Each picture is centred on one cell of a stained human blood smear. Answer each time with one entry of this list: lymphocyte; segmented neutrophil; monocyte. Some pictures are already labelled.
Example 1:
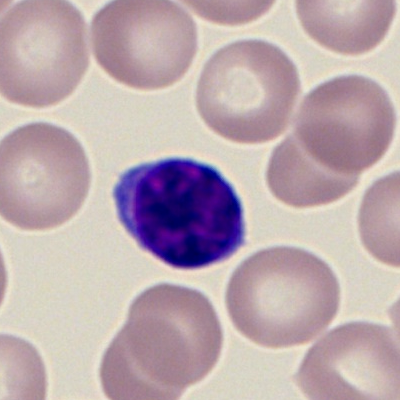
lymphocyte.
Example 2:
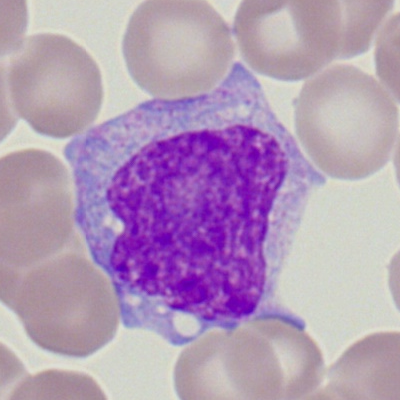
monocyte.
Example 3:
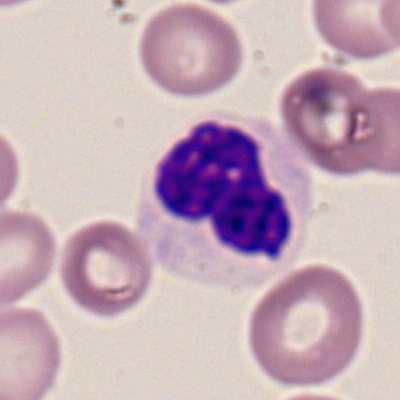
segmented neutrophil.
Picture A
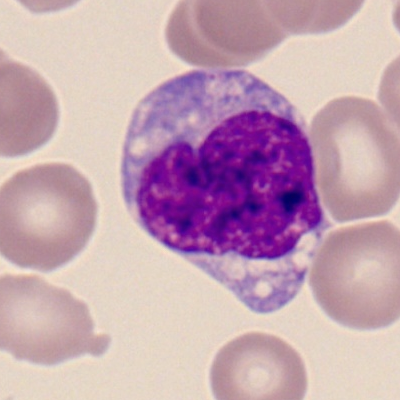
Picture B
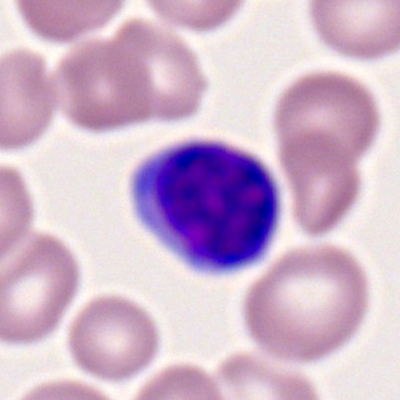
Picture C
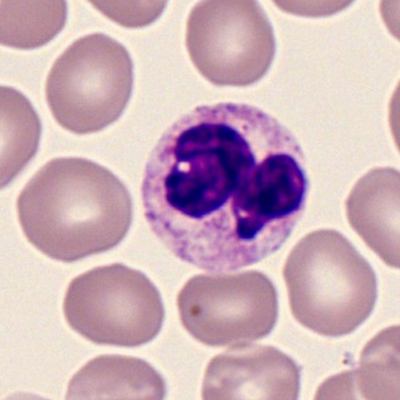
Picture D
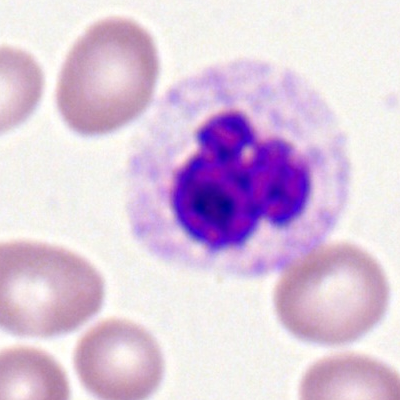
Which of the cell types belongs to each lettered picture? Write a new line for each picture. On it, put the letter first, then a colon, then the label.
A: monocyte.
B: lymphocyte.
C: segmented neutrophil.
D: segmented neutrophil.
